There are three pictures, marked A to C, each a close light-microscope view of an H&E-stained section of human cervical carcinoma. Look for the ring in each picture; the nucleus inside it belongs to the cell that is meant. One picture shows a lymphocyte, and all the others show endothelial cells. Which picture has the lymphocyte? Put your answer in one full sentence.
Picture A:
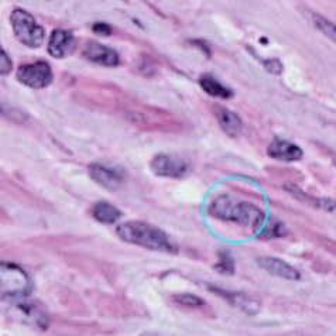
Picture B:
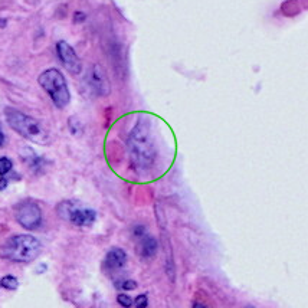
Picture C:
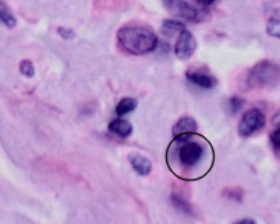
Picture C shows the lymphocyte.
